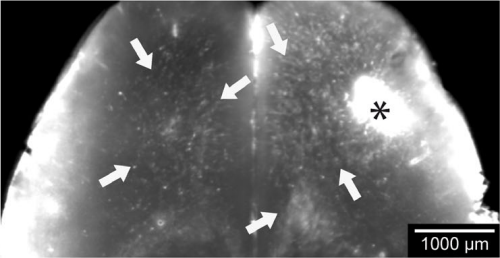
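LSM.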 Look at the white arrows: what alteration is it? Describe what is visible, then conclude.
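The arrows point at fields of scattered small bright dots in the tissue. The dots lie in both halves of the section, on either side of the midline.
Areas of pronounced tumor cell invasion.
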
